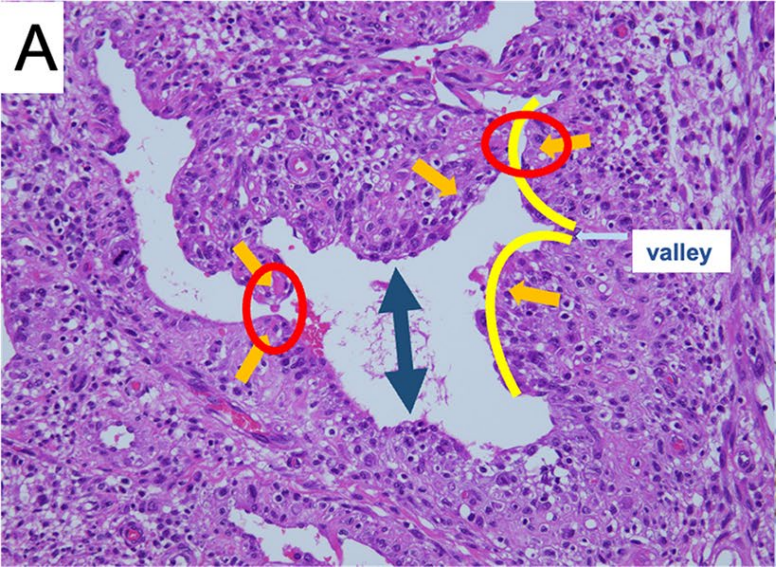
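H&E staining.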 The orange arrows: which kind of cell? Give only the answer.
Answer: Tumor cell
